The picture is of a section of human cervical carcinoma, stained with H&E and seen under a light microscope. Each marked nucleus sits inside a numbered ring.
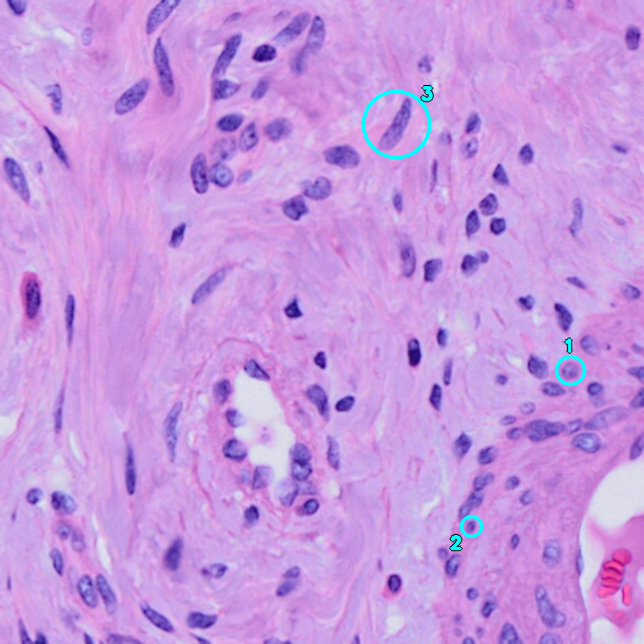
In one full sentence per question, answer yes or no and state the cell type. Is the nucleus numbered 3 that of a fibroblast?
Yes, the one with the number 3 is a fibroblast.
